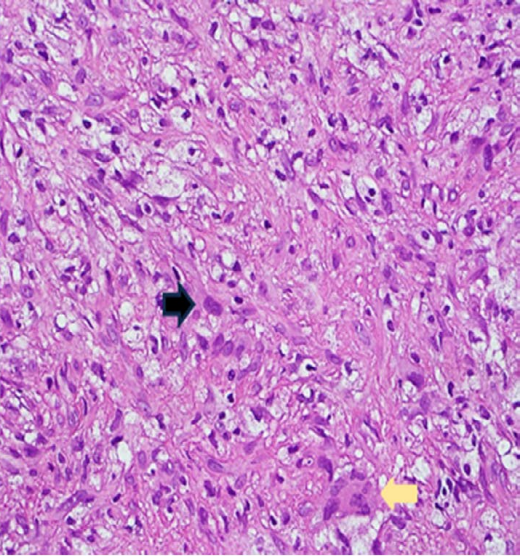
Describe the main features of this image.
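This tumor consists of sheets of xanthomatous histiocytes with pale, finely vacuolated foamy cytoplasm, mixed with smaller epithelioid cells with pink, eosinophilic cytoplasm and dark, moderately atypical nuclei. The cells lie loosely in a pink fibrillary background, in places in vague streaming bundles. Scattered among them are occasional large multinucleated osteoclast-like giant cells with abundant pink cytoplasm.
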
